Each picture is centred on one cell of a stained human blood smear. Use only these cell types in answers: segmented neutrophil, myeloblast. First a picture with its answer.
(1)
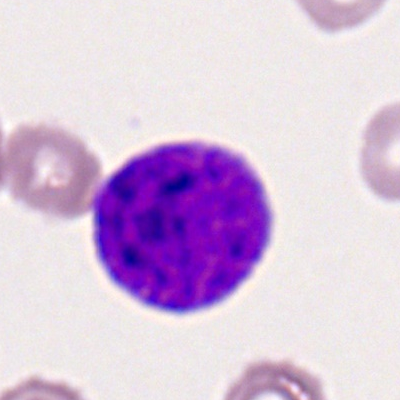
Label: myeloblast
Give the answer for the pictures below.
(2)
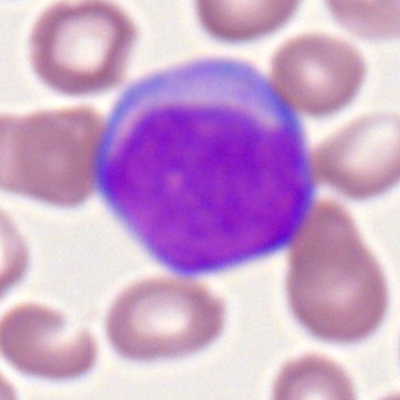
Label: myeloblast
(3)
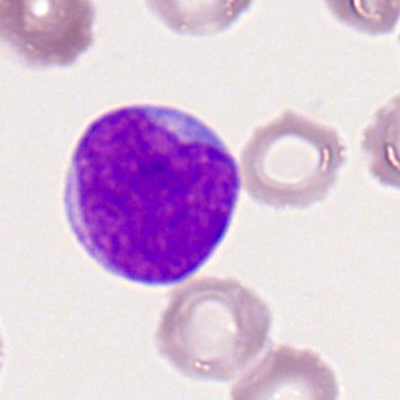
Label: myeloblast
